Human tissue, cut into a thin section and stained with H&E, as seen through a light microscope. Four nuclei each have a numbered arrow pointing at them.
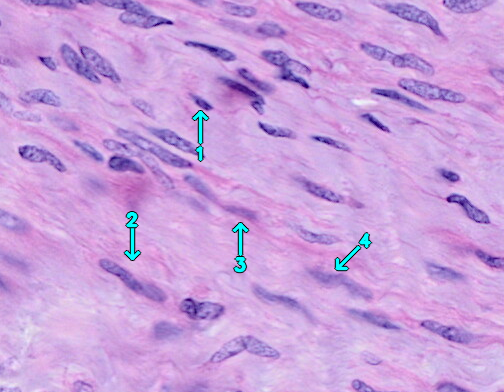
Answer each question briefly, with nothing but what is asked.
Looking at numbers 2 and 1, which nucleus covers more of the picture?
2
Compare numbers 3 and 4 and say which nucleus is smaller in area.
3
